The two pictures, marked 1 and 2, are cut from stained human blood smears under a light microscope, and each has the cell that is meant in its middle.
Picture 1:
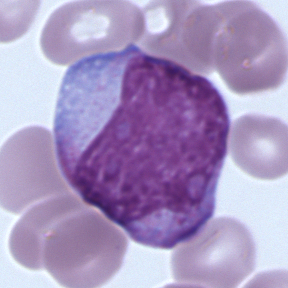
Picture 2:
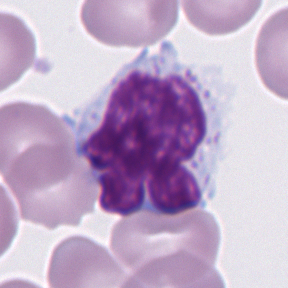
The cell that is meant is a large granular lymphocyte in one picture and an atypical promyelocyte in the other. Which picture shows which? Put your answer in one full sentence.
It is picture 1 that shows an atypical promyelocyte, and picture 2 that shows a large granular lymphocyte.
